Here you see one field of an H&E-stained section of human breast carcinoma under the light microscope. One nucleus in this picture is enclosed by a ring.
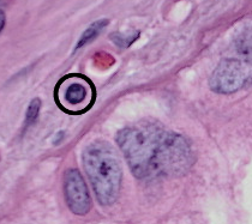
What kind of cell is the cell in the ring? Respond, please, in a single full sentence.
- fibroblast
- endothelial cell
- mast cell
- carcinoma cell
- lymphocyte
The identity of the cell in the ring: it is a mast cell.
